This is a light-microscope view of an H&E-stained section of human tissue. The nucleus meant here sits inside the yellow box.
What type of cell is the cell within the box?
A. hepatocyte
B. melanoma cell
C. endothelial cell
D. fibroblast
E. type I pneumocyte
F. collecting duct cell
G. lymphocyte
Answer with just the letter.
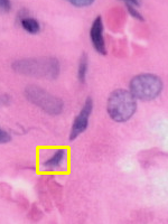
C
